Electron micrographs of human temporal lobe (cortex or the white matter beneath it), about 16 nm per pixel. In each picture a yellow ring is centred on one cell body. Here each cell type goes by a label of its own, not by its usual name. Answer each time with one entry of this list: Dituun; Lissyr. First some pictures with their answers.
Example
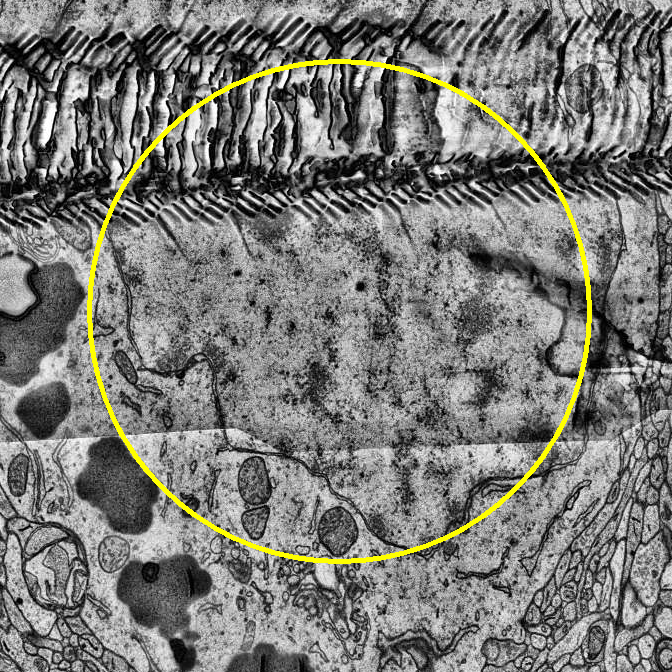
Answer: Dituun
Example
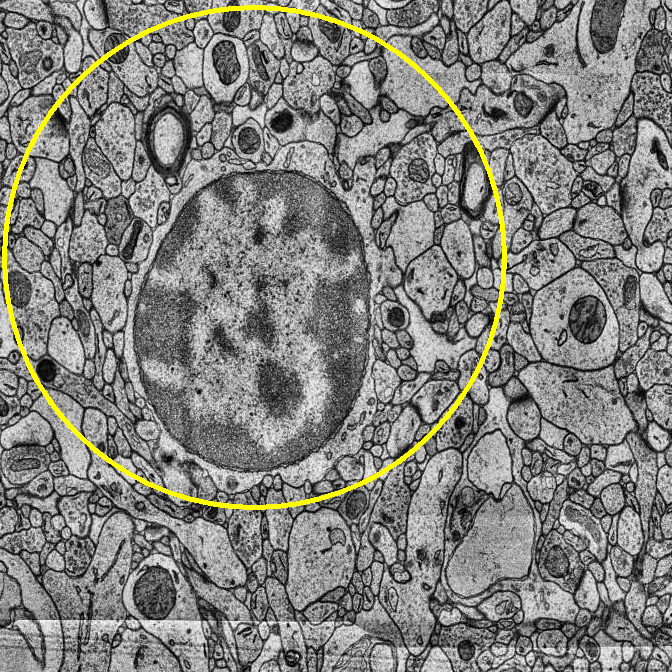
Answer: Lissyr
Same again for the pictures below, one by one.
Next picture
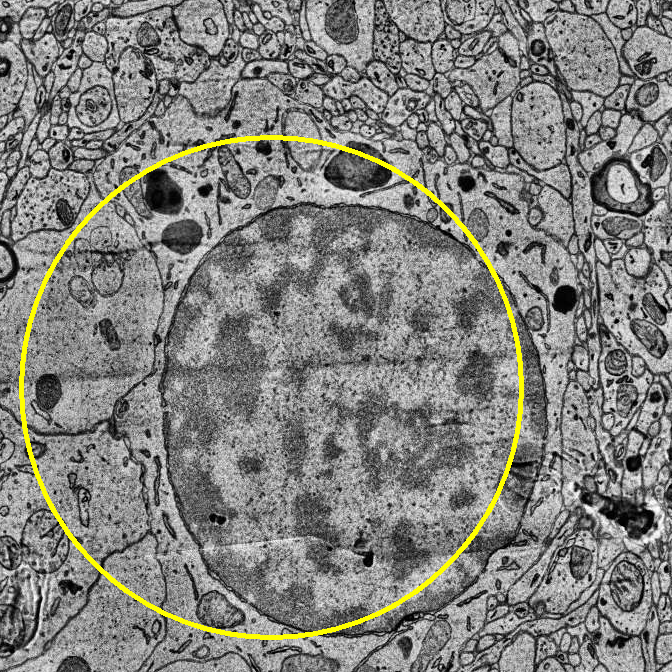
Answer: Lissyr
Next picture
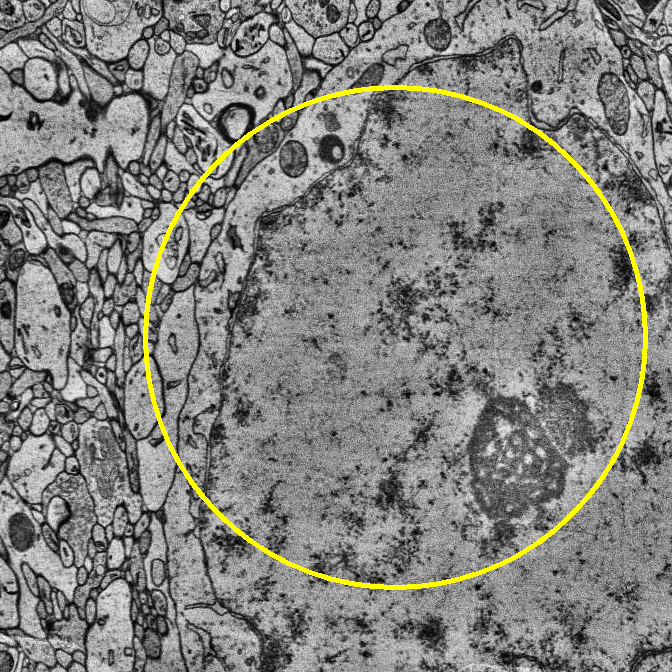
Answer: Dituun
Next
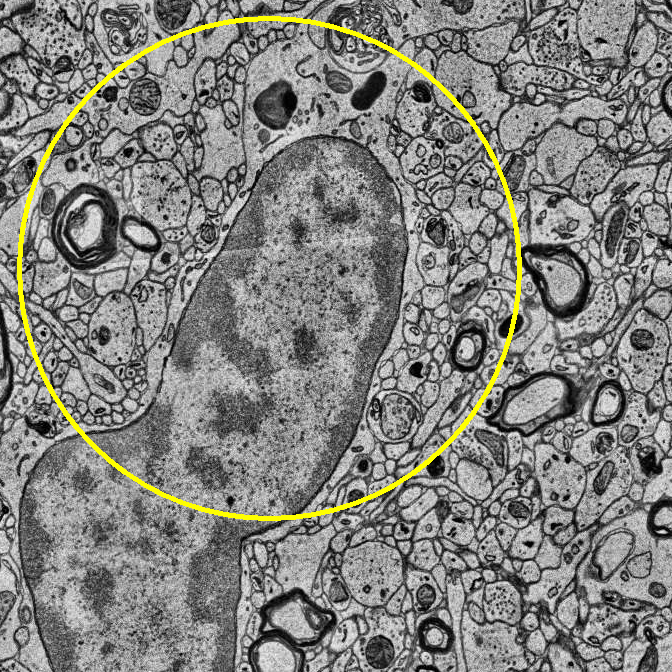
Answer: Lissyr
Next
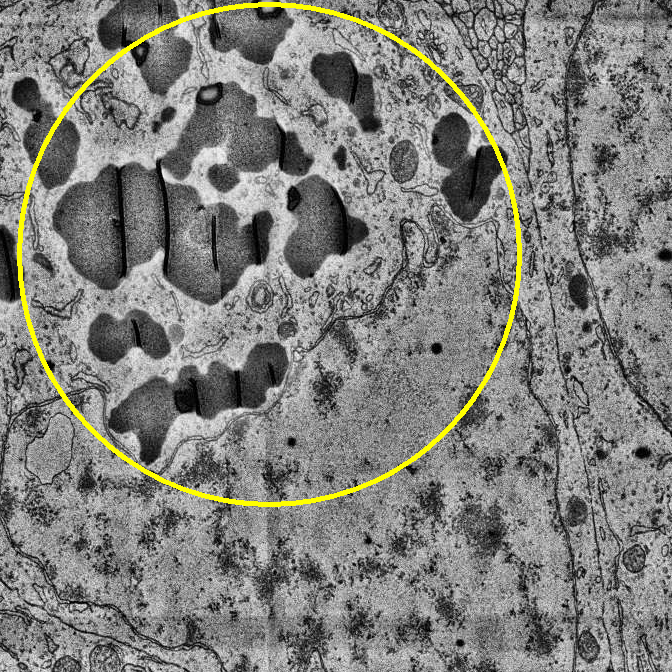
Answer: Dituun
